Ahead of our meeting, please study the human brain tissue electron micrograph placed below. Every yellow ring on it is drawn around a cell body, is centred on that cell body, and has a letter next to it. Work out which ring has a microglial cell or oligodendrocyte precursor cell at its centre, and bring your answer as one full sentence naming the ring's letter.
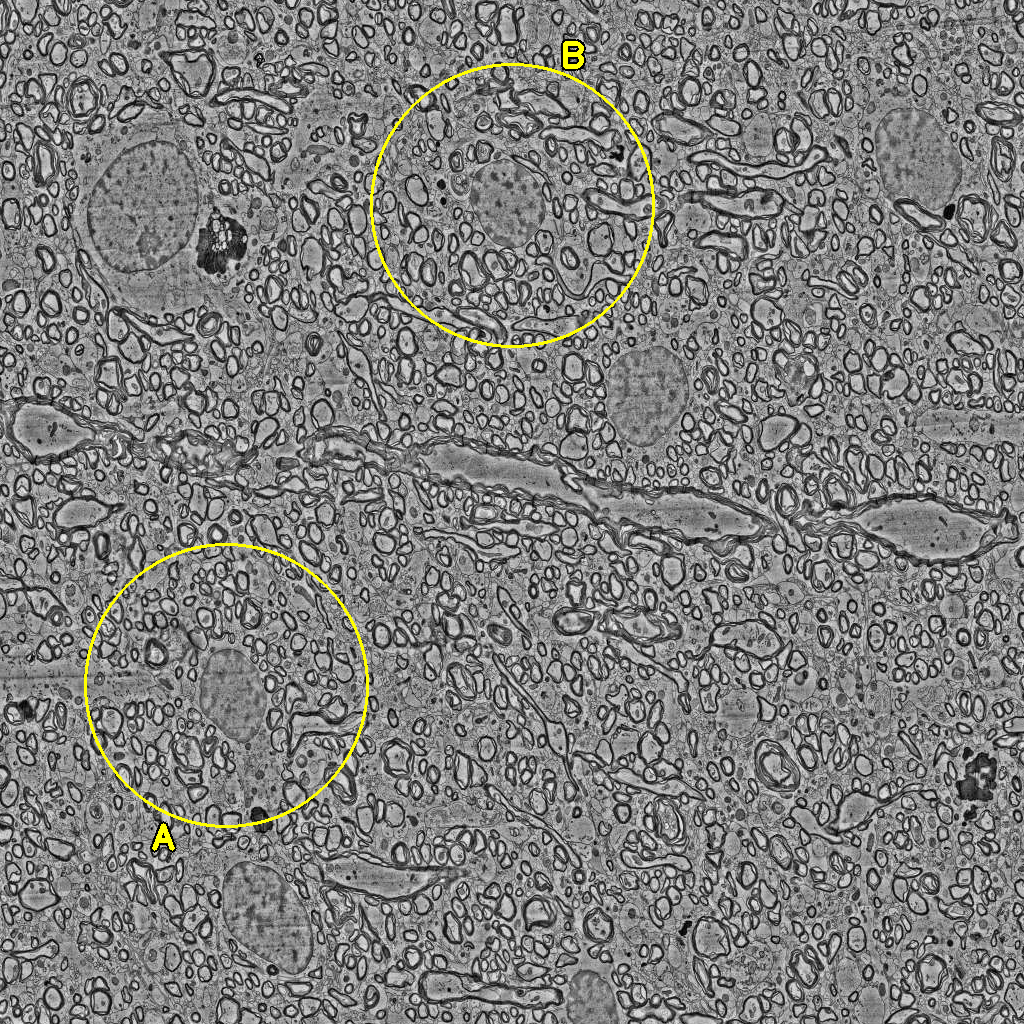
In the micrograph, ring B is the one centred on the cell I was asked to find.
